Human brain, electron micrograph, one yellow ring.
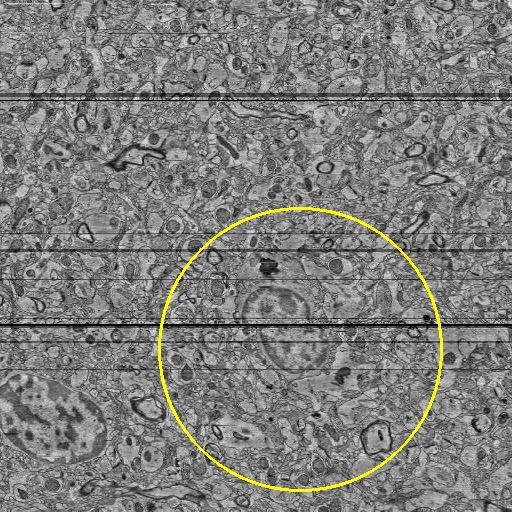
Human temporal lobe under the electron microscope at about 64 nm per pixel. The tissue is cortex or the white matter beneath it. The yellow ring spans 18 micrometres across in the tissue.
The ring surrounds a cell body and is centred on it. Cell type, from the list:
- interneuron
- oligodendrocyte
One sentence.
The yellow ring circles an oligodendrocyte.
